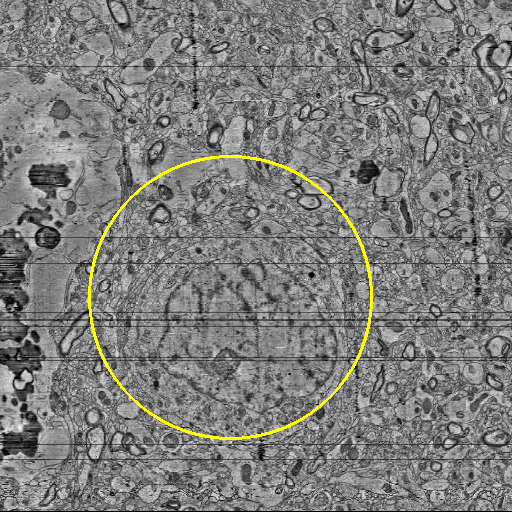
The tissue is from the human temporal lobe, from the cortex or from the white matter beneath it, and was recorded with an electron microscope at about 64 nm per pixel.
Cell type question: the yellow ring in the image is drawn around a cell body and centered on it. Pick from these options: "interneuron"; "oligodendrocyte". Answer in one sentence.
The ringed cell at the center is an interneuron.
